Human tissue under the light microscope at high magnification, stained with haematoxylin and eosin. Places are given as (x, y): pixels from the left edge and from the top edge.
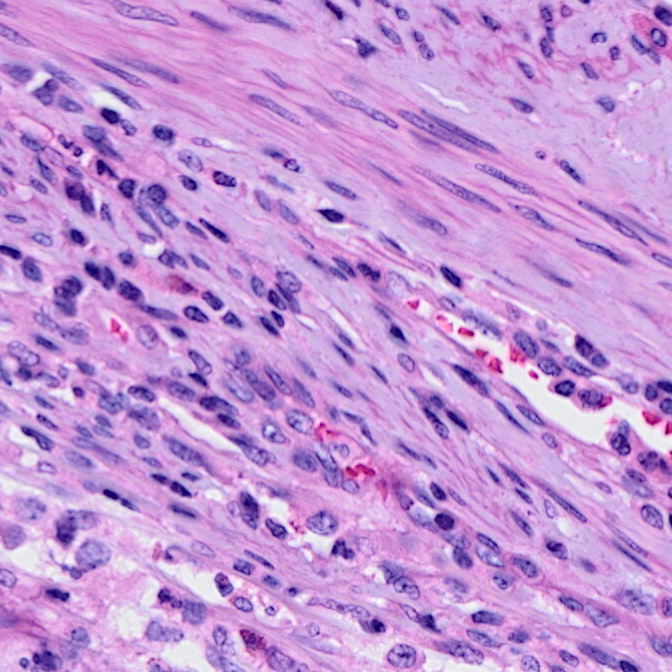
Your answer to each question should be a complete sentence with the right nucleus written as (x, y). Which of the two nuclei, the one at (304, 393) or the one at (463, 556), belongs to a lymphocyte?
Here the nucleus at (463, 556) is the one that belongs to a lymphocyte.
